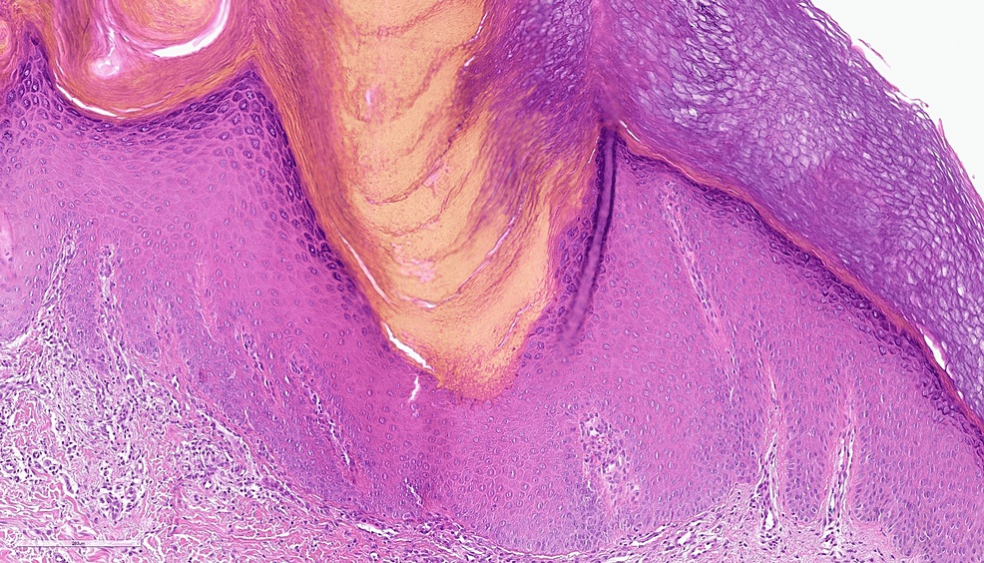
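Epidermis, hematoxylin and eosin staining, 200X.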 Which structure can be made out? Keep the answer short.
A: Cornoid lamella.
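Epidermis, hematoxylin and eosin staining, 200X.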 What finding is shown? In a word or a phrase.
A: Loss of the granular layer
